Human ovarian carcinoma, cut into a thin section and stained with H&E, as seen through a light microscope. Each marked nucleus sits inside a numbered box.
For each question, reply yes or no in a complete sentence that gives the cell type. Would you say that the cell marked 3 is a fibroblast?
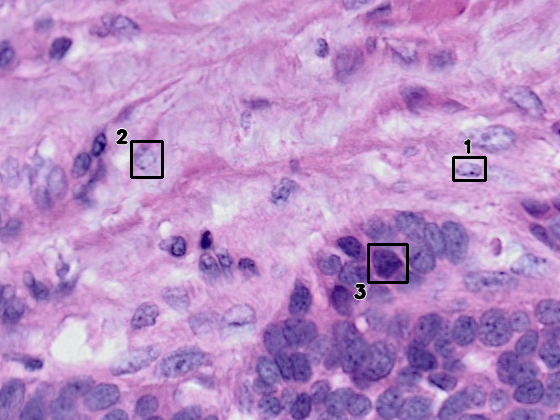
No, number 3 corresponds to a carcinoma cell, not a fibroblast.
